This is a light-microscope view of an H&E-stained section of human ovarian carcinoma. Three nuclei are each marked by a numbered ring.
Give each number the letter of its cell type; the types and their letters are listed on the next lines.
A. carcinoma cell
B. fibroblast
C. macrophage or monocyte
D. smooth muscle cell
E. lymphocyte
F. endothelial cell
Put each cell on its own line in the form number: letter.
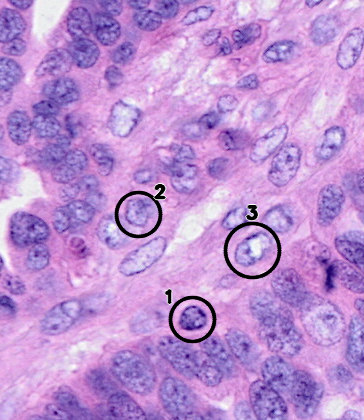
1: C
2: B
3: B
